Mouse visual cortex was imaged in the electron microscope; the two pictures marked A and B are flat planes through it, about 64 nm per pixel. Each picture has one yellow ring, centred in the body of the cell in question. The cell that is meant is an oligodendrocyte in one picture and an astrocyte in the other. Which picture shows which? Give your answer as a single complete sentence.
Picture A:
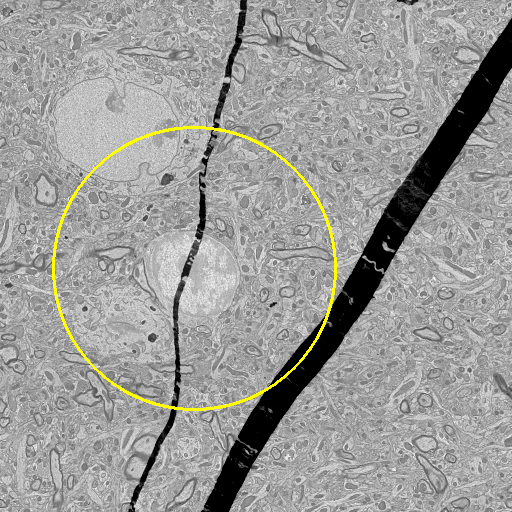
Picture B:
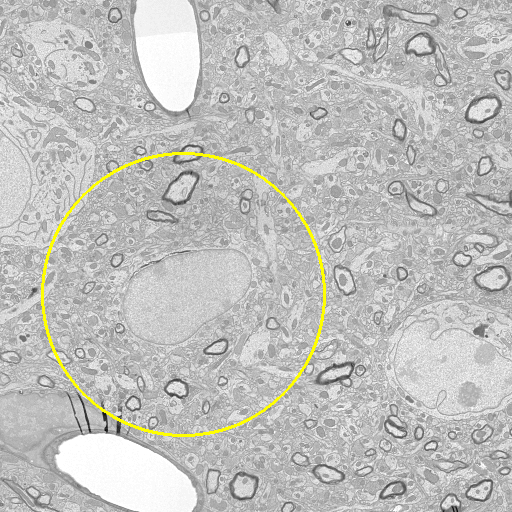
Picture A shows an oligodendrocyte and picture B shows an astrocyte.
